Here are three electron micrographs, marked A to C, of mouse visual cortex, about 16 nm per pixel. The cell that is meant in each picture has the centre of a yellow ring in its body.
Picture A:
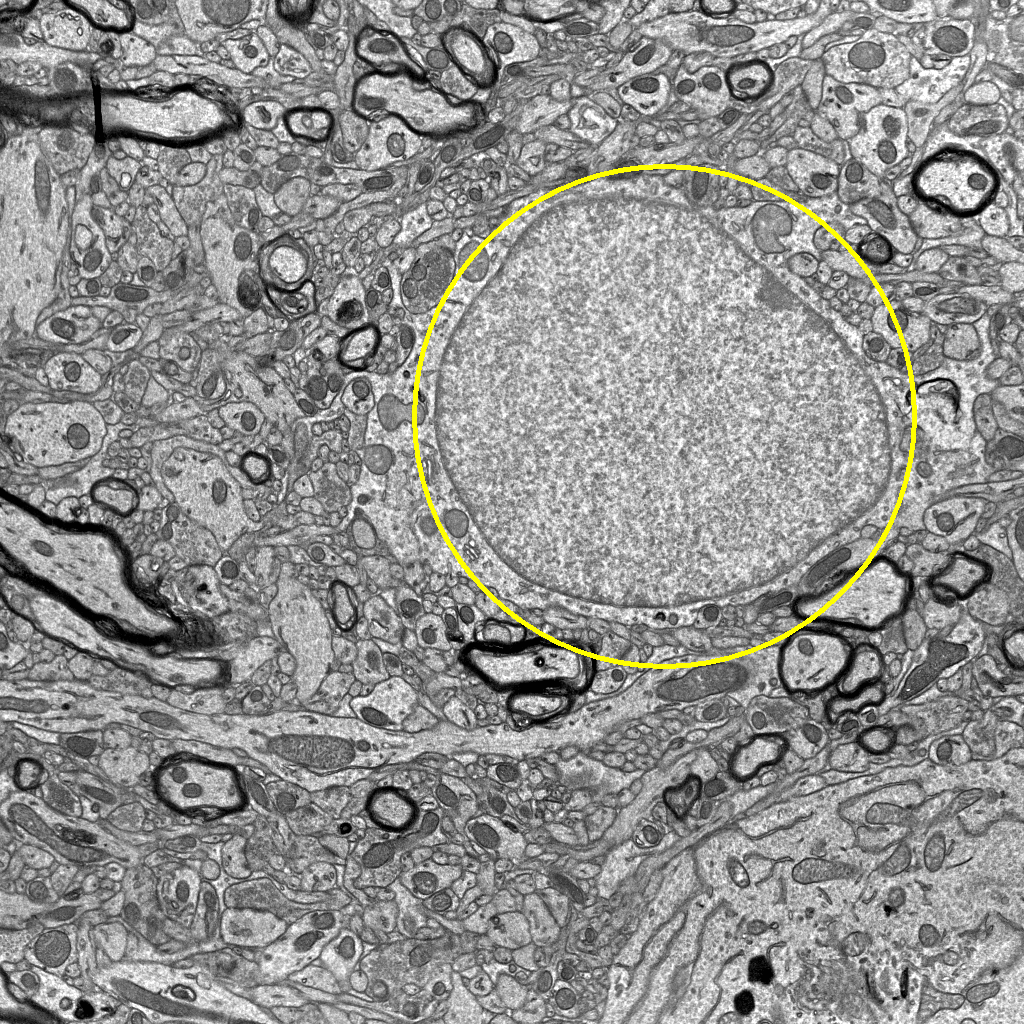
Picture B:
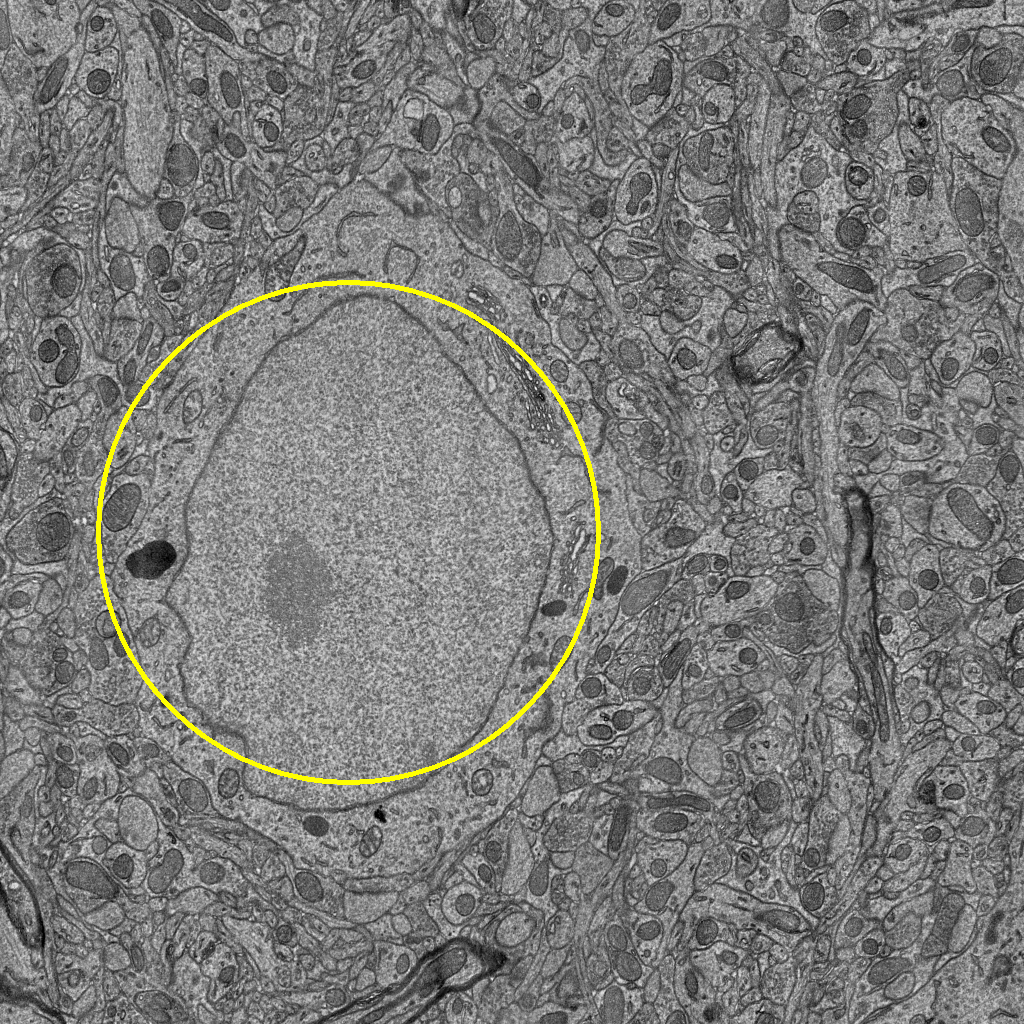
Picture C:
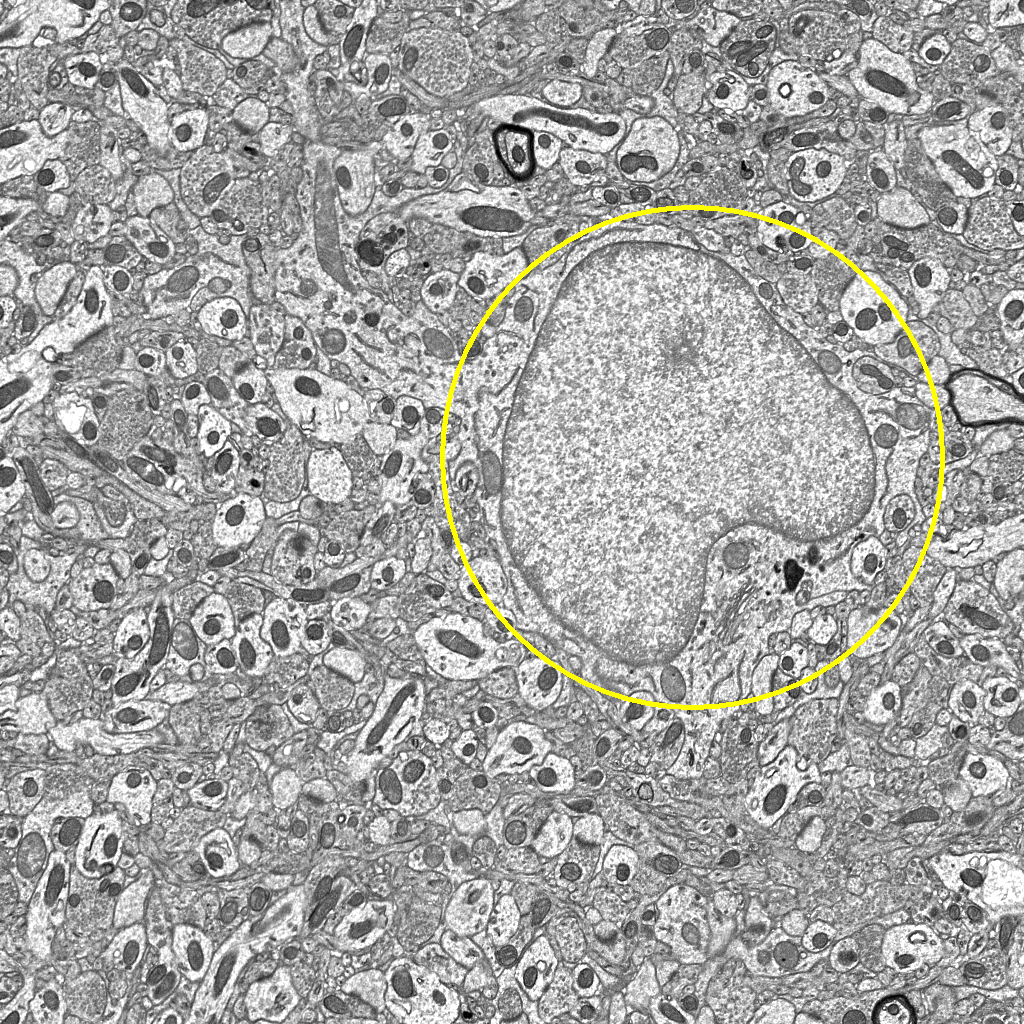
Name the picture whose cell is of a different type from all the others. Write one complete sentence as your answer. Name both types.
All pictures except B show astrocytes; picture B shows an excitatory neuron.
